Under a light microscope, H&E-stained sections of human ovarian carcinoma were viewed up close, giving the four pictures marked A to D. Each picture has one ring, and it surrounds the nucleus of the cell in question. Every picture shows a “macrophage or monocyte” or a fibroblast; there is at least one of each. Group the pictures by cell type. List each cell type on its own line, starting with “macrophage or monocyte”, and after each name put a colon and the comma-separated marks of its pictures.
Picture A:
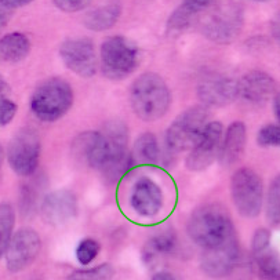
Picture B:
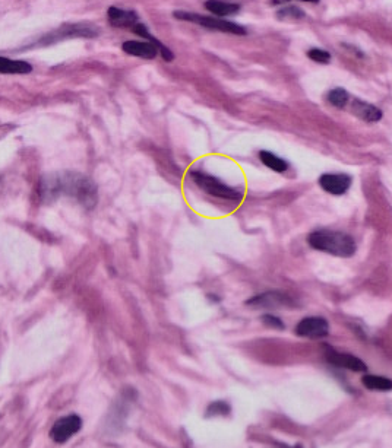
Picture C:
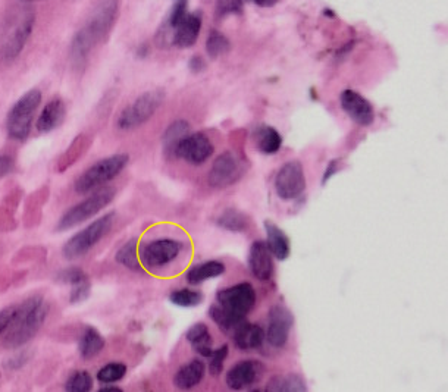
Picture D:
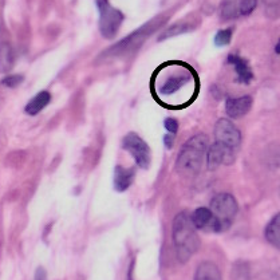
macrophage or monocyte: A, C, D
fibroblast: B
